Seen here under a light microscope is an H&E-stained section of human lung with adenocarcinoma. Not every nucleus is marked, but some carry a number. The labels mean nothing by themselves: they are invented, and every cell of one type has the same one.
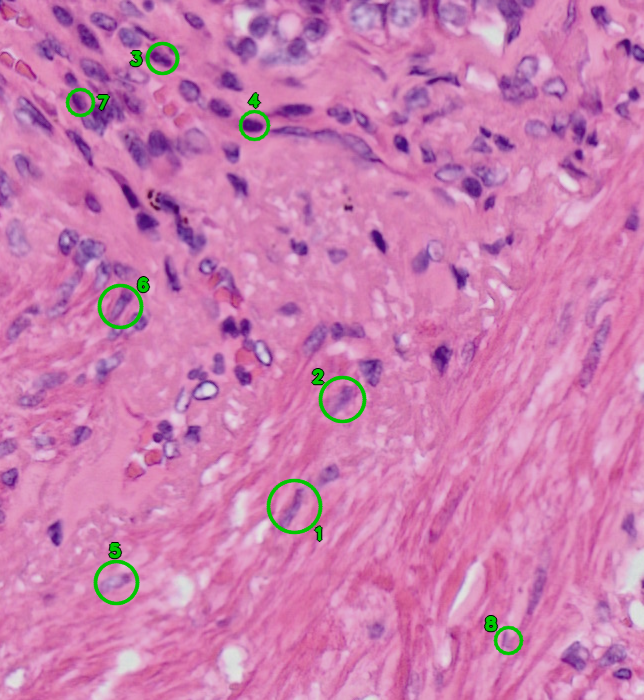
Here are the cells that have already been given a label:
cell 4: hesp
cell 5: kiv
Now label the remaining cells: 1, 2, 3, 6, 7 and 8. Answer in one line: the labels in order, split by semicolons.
kiv; kiv; hesp; kiv; hesp; kiv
